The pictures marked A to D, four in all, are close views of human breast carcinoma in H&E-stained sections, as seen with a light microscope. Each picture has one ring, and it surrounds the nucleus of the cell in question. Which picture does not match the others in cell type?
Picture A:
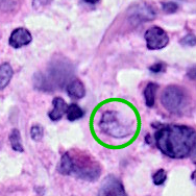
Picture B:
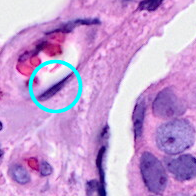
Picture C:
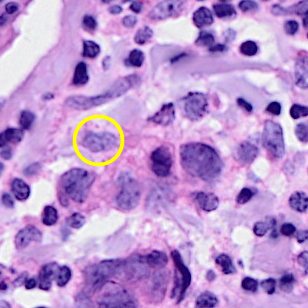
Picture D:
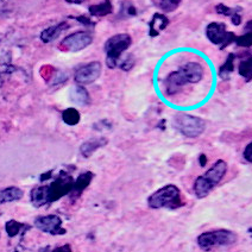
B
